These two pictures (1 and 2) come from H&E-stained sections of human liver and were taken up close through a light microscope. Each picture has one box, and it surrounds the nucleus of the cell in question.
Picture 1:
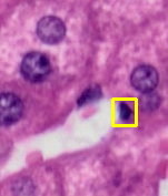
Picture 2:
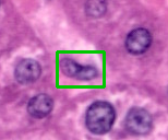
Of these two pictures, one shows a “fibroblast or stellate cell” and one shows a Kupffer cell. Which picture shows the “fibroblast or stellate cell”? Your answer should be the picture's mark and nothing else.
1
